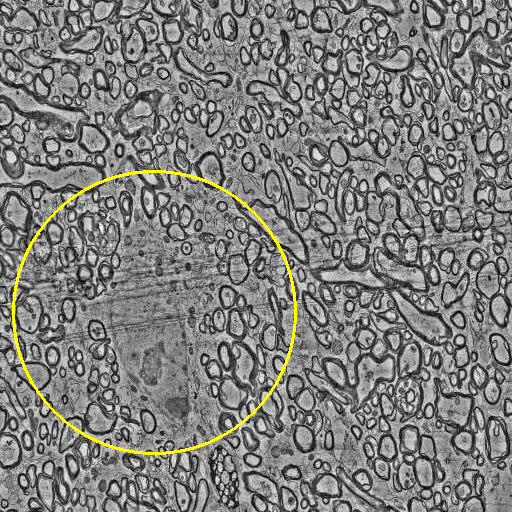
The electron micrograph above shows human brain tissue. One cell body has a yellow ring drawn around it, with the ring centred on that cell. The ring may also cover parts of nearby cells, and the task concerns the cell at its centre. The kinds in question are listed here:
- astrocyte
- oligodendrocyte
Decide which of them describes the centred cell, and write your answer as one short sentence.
The centred cell is an astrocyte.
